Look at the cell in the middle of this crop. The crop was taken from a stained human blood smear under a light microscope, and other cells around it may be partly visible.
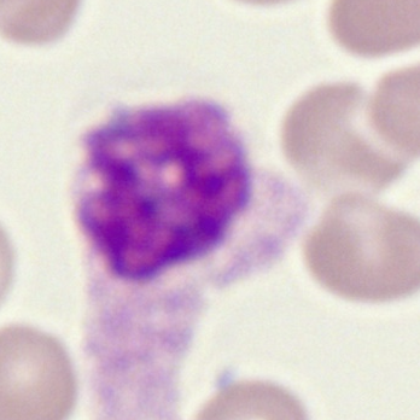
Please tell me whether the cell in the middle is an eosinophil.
no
